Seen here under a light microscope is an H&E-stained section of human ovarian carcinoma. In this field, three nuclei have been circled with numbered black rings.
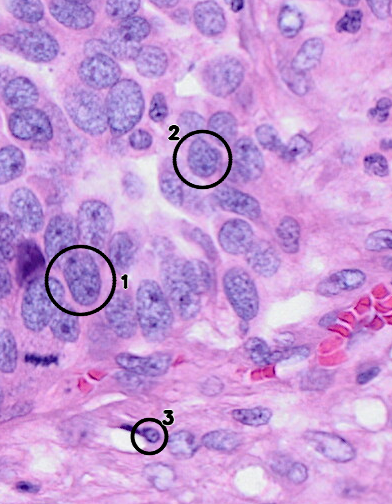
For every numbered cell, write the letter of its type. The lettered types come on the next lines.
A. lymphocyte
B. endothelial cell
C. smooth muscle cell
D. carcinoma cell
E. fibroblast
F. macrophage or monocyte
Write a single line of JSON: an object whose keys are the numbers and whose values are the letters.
{"1": "D", "2": "D", "3": "F"}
